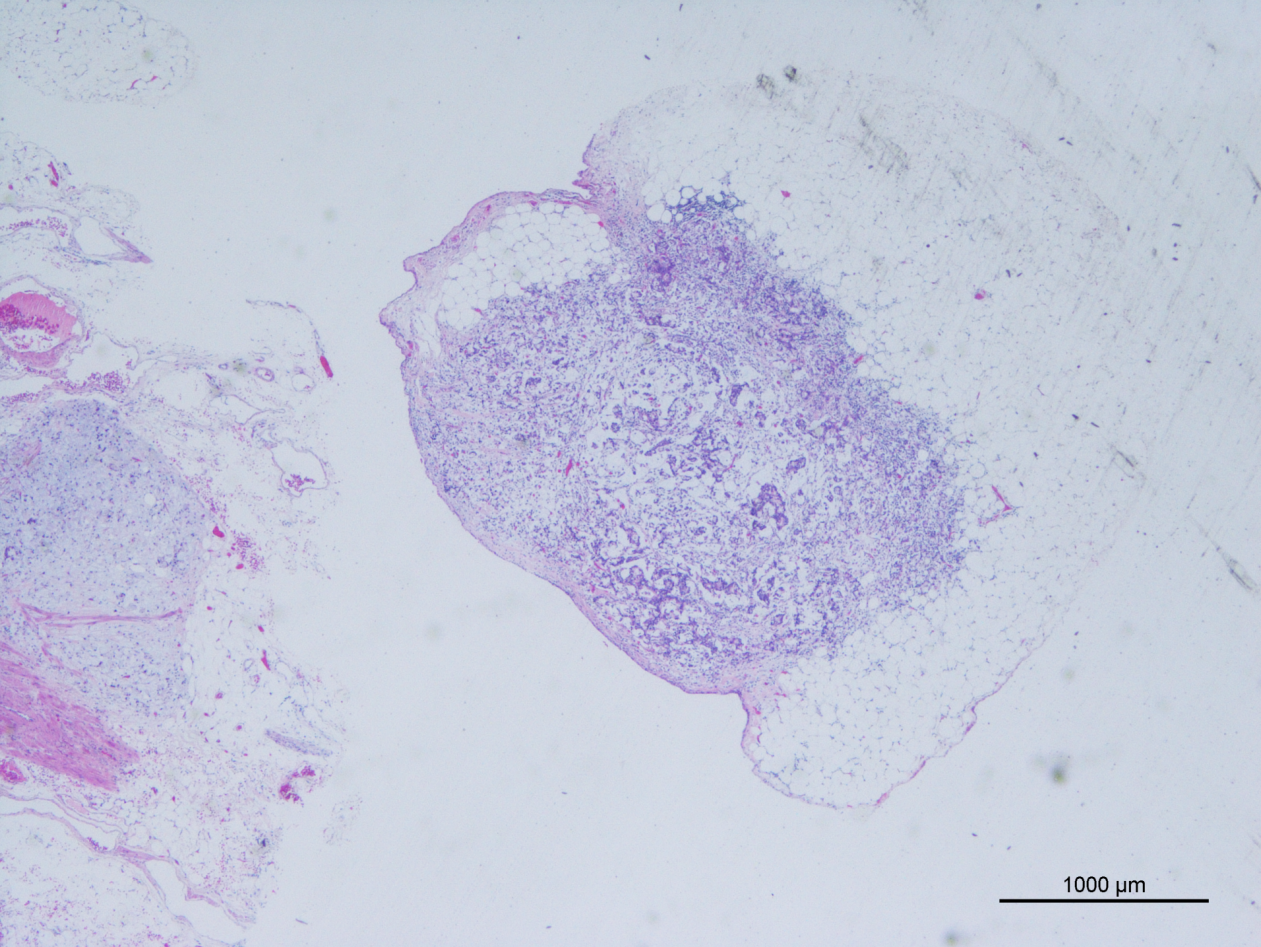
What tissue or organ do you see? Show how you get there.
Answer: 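Large clear polygonal spaces with thin pink walls form a honeycomb around the nodule. The fat lobules have no stained content inside the spaces. That points to this answer: adipose tissue.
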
